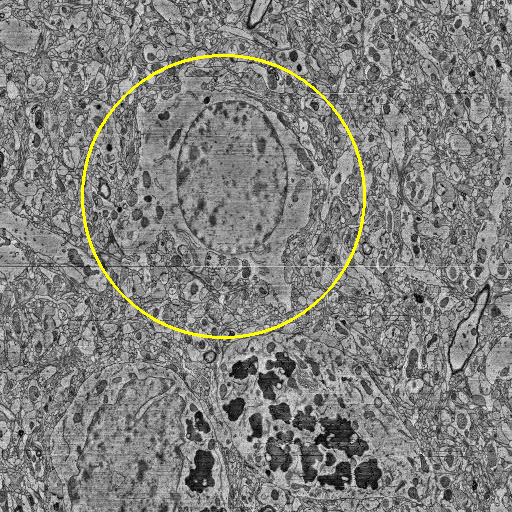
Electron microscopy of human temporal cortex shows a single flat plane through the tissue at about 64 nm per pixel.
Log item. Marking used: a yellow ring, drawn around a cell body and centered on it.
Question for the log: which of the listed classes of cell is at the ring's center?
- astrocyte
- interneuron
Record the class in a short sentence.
At the center of the ring lies an astrocyte.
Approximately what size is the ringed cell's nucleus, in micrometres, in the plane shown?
In this plane, the nucleus is roughly 10 by 7 micrometres.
